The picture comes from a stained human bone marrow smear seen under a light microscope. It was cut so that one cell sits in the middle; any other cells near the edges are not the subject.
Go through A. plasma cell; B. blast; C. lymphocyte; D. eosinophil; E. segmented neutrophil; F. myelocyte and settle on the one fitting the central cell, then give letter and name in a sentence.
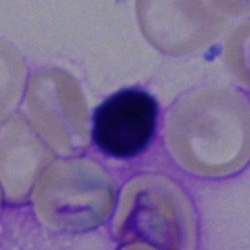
Option C gives the correct identity of the central cell, namely a lymphocyte.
